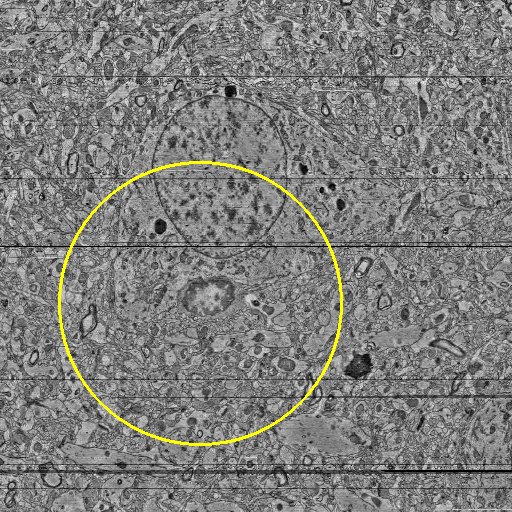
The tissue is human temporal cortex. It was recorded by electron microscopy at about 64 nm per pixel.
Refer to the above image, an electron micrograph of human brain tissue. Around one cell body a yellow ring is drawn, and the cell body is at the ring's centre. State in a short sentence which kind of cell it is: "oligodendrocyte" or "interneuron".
The centre of the ring falls on an oligodendrocyte.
